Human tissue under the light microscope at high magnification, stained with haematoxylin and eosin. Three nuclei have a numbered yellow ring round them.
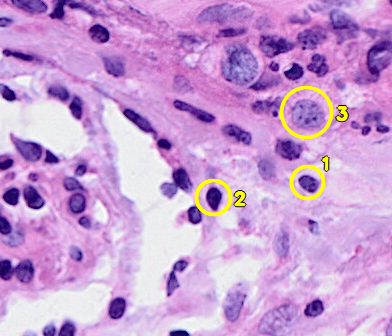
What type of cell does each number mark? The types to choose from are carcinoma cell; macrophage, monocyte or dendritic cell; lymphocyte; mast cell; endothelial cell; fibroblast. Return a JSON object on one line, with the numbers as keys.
{"1": "lymphocyte", "2": "lymphocyte", "3": "macrophage, monocyte or dendritic cell"}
